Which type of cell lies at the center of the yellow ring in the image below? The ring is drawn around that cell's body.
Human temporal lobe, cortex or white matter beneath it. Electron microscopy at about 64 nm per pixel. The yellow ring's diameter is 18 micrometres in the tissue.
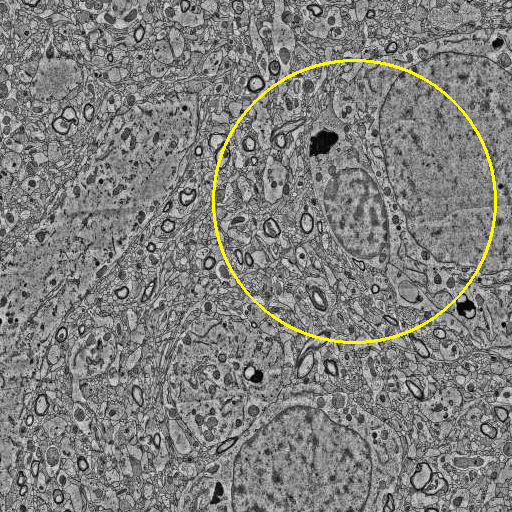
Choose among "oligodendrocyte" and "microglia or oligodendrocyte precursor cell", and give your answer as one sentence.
The cell body at the center belongs to an oligodendrocyte.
